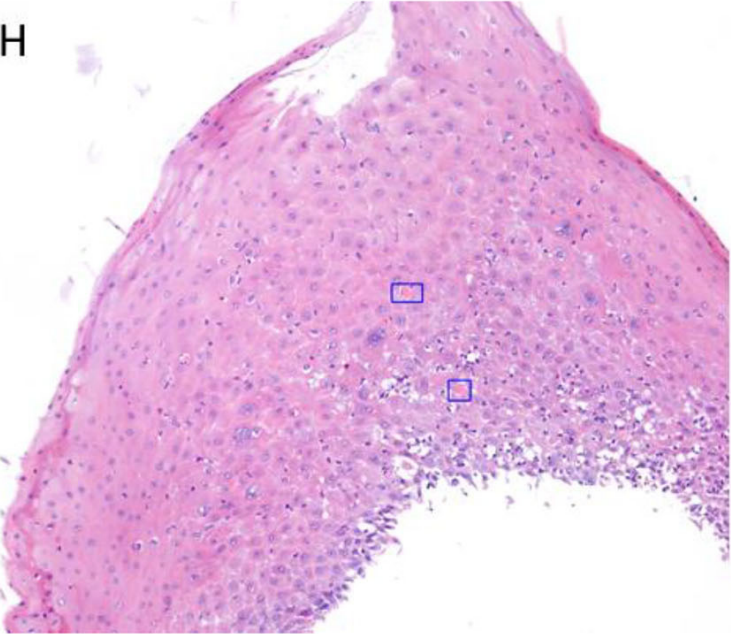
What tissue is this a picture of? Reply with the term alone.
Superficial squamous epithelium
